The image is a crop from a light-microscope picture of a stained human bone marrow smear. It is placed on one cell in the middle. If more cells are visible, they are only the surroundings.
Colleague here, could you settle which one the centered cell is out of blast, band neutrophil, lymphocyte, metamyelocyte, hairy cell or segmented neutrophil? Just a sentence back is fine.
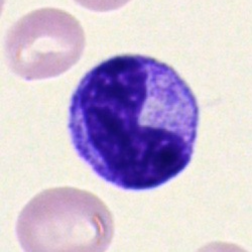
The cell occupying the middle of the crop is a band neutrophil.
